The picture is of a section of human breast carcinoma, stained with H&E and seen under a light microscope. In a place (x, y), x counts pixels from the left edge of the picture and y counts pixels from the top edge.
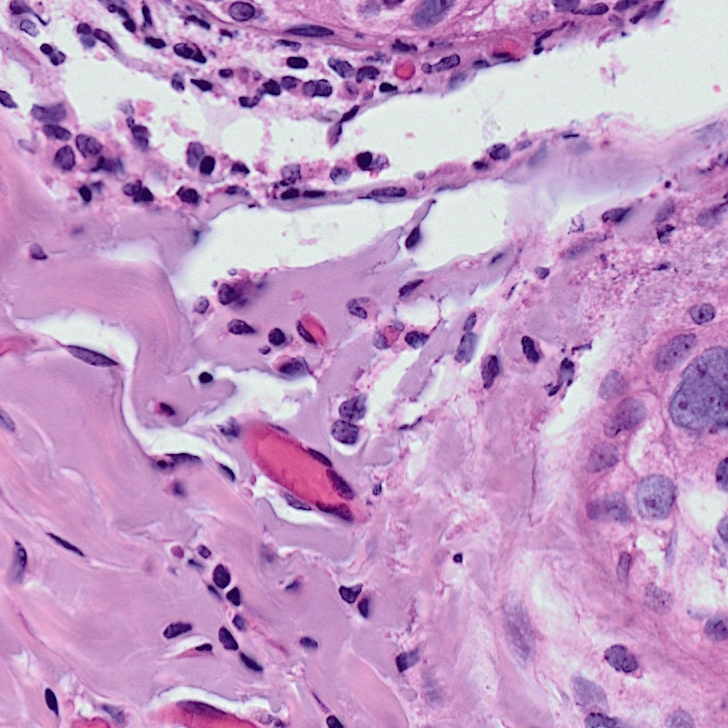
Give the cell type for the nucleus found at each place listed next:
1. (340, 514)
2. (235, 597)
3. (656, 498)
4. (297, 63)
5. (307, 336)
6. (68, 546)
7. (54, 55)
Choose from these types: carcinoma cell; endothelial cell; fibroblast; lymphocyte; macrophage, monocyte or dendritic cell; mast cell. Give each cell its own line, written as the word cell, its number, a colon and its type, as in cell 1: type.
cell 1: endothelial cell
cell 2: lymphocyte
cell 3: carcinoma cell
cell 4: lymphocyte
cell 5: endothelial cell
cell 6: fibroblast
cell 7: lymphocyte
